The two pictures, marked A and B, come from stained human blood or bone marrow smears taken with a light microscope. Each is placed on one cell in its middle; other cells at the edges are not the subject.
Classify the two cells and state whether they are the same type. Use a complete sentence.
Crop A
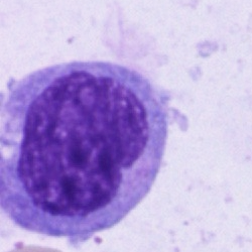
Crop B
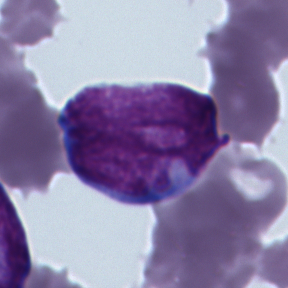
No, crop B shows a blast, and crop A shows a monocyte.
